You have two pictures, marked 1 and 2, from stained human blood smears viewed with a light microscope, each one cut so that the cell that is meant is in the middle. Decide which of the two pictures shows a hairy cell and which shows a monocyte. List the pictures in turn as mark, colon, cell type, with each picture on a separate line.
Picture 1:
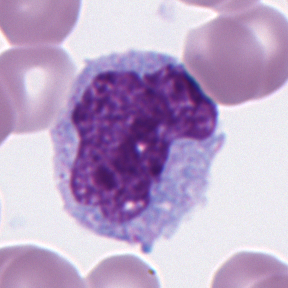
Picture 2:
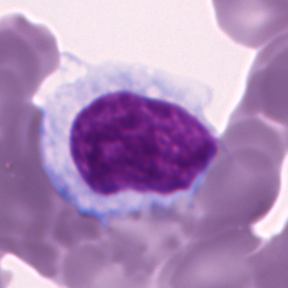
1: monocyte
2: hairy cell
